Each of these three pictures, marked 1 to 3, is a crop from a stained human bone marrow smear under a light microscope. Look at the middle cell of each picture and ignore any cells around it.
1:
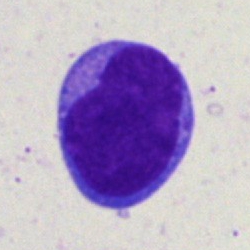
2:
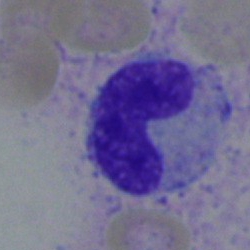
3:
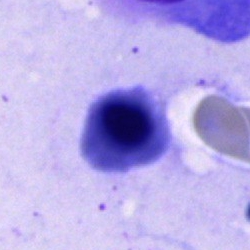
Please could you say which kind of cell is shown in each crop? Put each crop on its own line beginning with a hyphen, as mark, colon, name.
- 1: blast
- 2: band neutrophil
- 3: erythroblast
